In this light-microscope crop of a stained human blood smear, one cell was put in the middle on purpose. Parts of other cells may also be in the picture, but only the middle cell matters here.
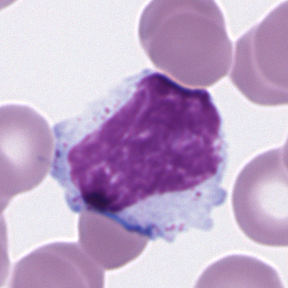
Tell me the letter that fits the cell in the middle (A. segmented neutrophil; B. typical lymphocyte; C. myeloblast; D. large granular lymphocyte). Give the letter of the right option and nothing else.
D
